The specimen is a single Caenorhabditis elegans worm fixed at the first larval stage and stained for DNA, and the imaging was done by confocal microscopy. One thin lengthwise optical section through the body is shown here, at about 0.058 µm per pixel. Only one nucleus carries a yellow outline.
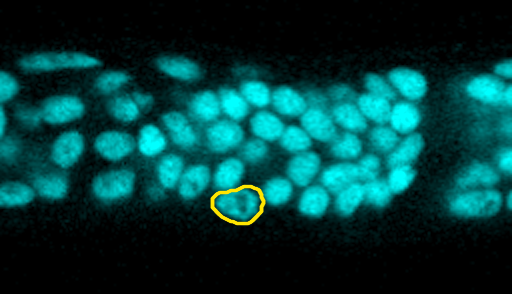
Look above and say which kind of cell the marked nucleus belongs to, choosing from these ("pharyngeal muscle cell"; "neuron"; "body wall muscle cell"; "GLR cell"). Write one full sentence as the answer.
The marked nucleus belongs to a body wall muscle cell.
